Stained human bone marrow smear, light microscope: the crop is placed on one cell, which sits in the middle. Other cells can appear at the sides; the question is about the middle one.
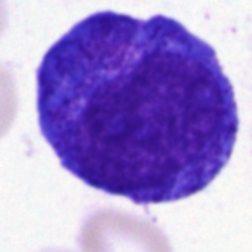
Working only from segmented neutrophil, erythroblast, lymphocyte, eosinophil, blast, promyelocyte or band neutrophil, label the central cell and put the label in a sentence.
Classification of the middle cell gives a promyelocyte.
